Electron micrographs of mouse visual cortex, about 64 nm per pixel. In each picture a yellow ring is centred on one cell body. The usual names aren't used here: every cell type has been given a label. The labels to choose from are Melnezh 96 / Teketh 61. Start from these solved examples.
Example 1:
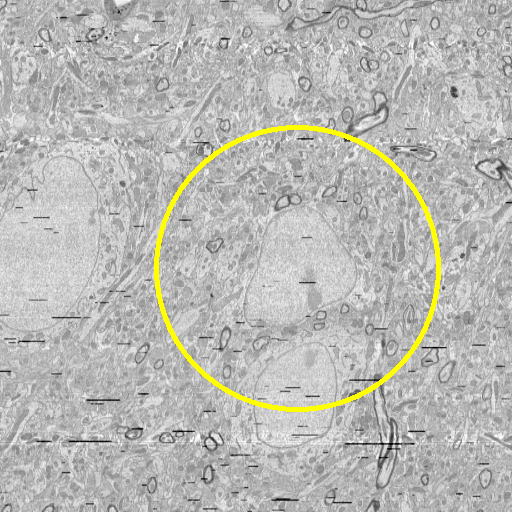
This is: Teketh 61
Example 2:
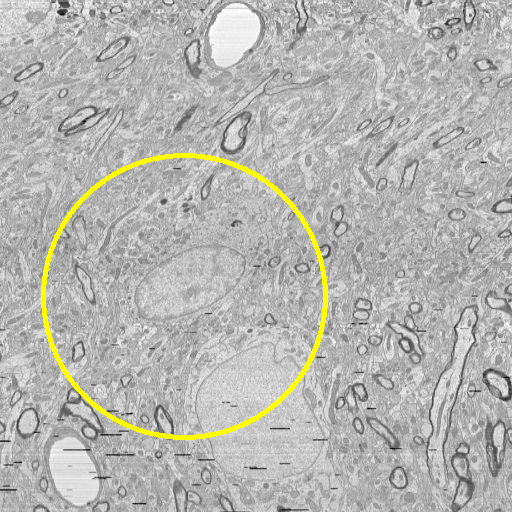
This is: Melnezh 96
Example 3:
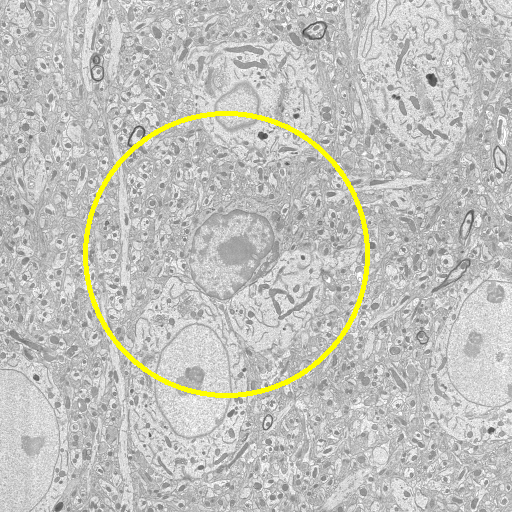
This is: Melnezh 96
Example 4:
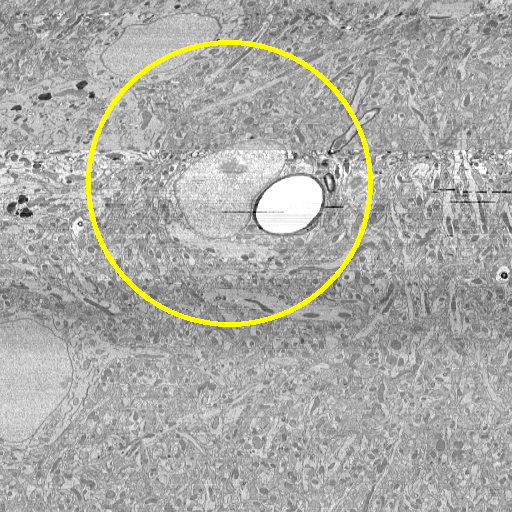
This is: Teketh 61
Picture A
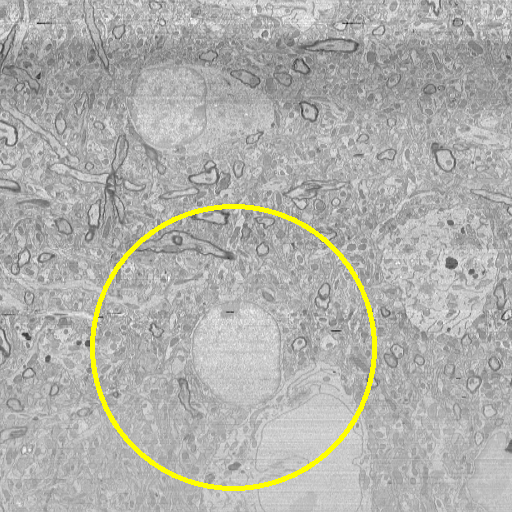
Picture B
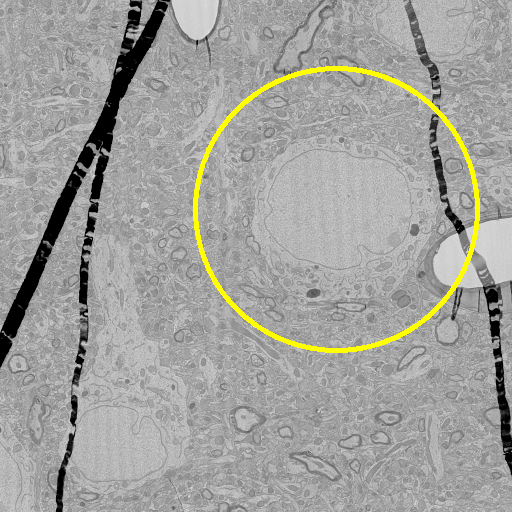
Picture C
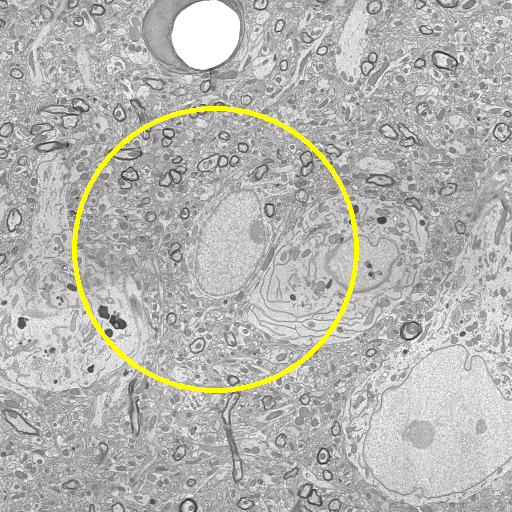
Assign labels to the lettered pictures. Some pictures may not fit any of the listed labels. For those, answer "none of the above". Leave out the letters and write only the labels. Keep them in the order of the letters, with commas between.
Teketh 61, none of the above, Teketh 61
